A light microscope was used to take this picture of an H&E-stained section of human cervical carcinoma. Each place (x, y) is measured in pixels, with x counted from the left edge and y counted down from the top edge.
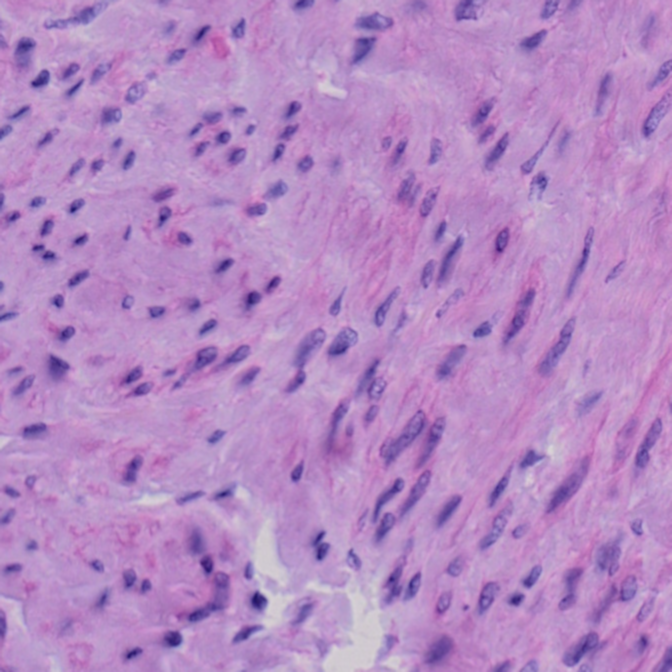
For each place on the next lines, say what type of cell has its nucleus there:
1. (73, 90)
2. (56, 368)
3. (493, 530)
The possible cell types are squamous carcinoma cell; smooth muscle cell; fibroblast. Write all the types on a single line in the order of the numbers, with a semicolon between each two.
fibroblast; fibroblast; smooth muscle cell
